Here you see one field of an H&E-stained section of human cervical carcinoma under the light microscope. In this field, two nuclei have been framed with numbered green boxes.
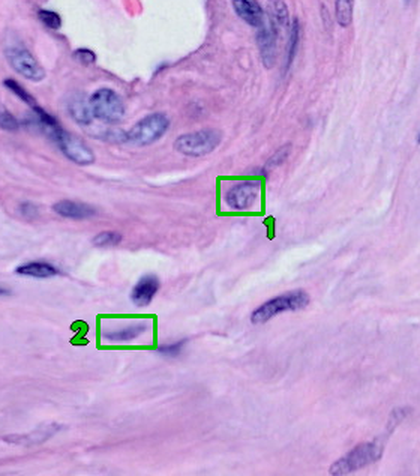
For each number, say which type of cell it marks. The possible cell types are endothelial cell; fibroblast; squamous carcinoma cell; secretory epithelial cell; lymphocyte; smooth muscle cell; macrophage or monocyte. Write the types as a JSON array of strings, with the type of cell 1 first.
["smooth muscle cell", "fibroblast"]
